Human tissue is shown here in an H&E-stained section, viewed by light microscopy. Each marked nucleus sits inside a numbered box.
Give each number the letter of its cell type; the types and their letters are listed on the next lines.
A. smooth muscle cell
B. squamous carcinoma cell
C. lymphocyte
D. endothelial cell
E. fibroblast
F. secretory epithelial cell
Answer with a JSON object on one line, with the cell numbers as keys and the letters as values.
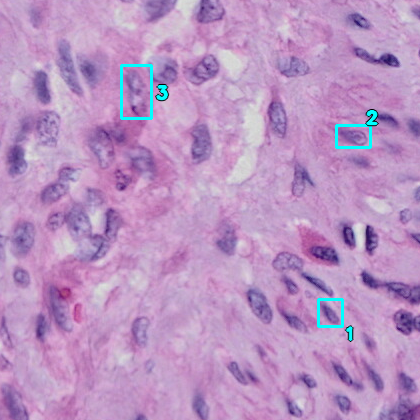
{"1": "A", "2": "A", "3": "D"}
